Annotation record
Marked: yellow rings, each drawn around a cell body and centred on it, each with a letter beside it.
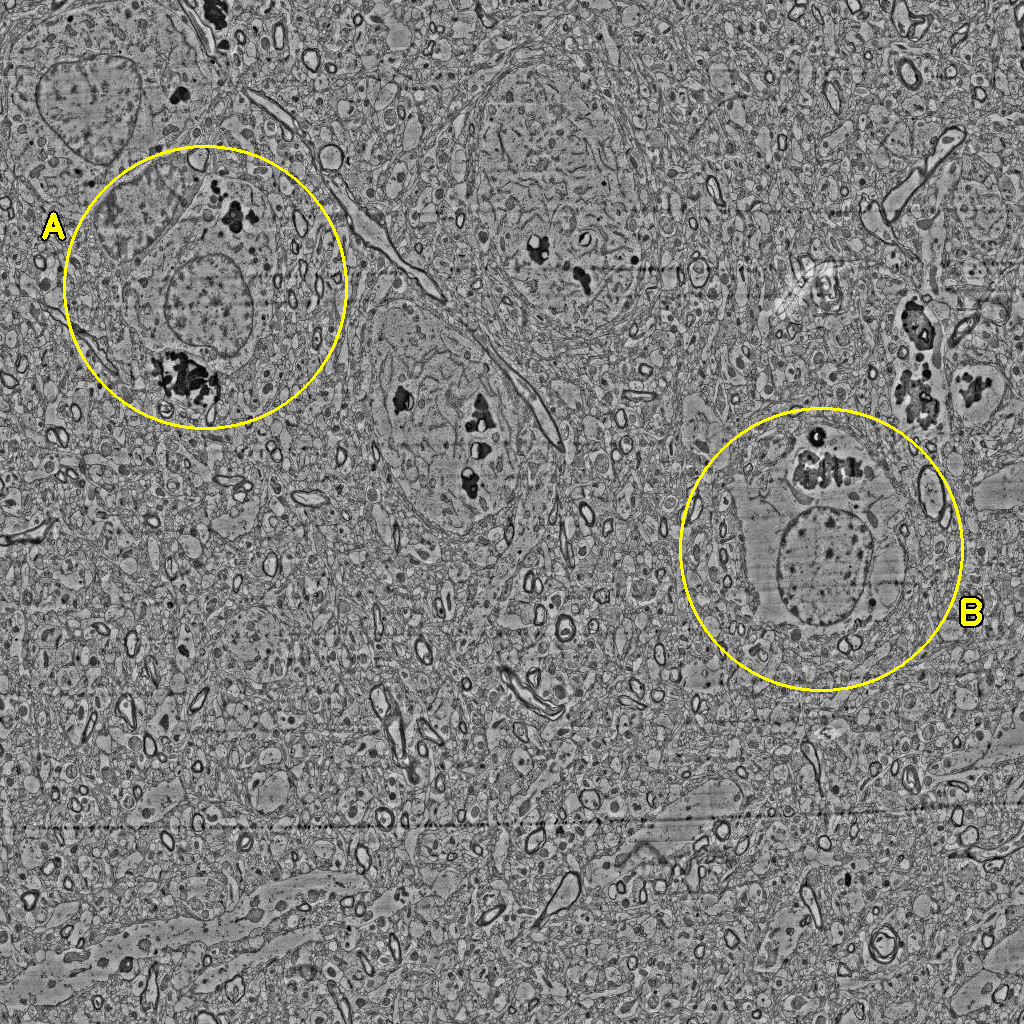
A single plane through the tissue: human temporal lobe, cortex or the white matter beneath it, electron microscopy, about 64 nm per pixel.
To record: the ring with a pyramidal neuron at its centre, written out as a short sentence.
The ring centred on it is ring A.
